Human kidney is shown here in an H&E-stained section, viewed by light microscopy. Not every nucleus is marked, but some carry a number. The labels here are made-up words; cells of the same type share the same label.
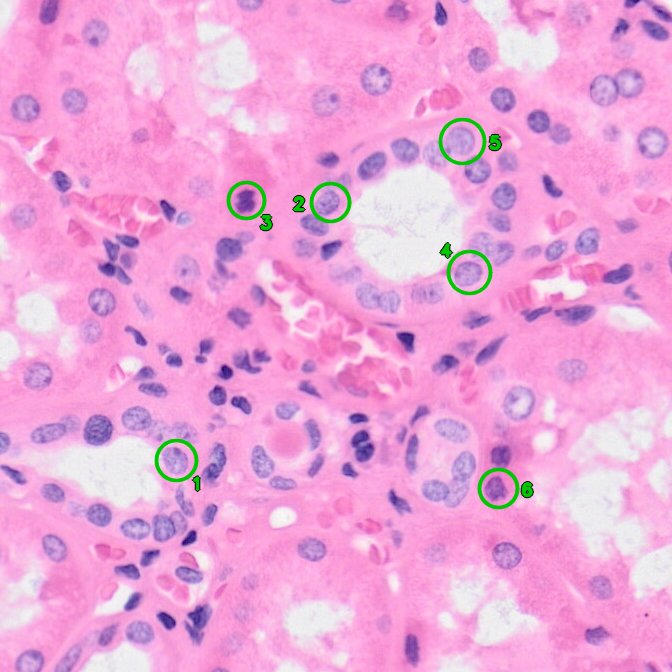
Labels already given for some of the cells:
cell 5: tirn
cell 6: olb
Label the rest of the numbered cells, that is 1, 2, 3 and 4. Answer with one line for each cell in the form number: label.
1: tirn
2: tirn
3: olb
4: tirn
